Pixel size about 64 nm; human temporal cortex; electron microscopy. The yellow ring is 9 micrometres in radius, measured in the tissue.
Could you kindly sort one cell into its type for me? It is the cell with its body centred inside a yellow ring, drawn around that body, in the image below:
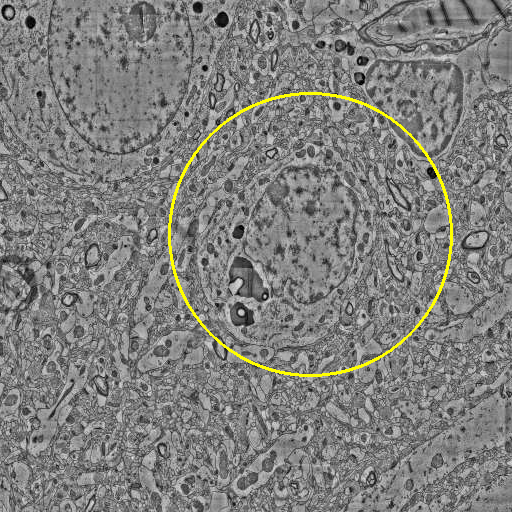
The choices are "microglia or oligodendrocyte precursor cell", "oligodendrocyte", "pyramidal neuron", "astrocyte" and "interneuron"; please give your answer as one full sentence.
The cell whose body lies centred in the yellow ring here is an interneuron.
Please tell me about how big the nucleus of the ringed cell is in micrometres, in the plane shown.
About 9 by 7 micrometers, in this plane.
